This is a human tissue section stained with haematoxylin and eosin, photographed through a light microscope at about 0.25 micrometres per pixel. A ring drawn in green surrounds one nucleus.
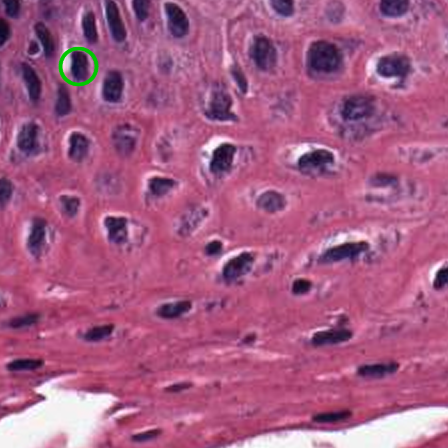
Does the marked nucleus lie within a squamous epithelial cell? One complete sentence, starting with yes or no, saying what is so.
Yes, a squamous epithelial cell holds the marked nucleus.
